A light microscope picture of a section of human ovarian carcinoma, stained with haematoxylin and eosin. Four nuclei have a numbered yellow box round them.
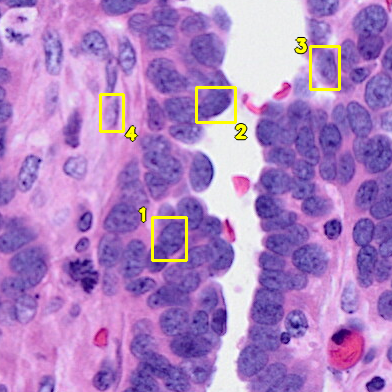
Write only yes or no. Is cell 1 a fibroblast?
no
